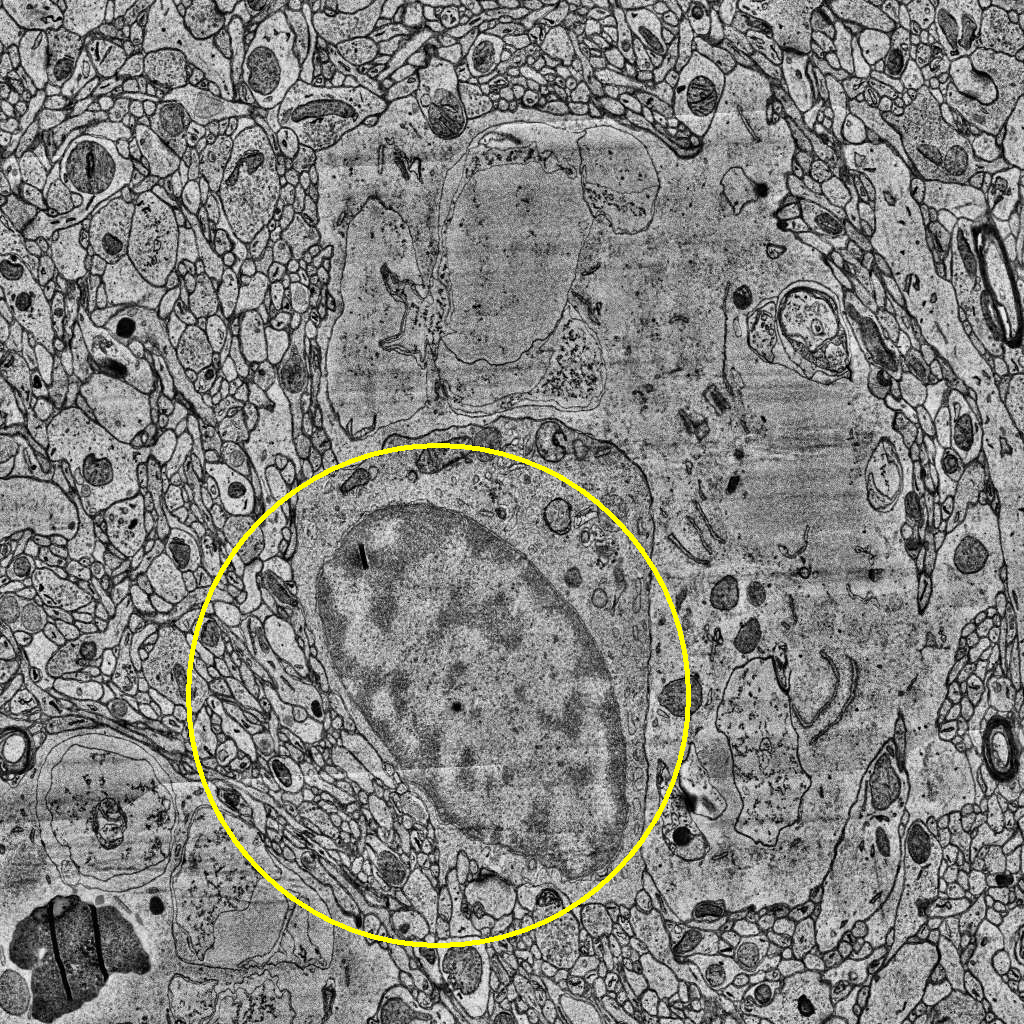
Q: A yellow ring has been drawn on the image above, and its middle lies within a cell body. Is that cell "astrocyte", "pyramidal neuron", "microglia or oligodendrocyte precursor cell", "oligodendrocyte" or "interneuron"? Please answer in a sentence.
The ring's middle lies in the cell body of an oligodendrocyte.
